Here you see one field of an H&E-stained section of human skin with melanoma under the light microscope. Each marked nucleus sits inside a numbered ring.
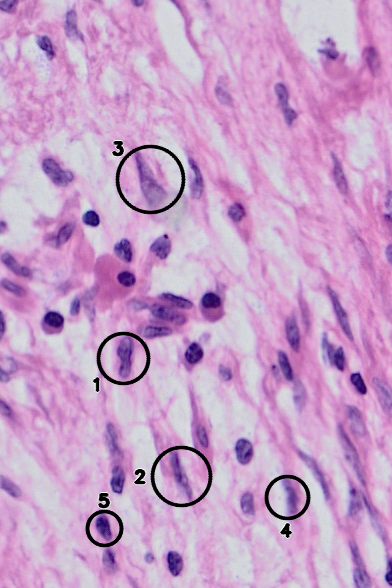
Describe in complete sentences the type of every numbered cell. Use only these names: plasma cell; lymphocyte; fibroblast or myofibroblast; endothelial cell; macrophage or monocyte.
Cell 1 is a macrophage or monocyte. Cells 2, 3 and 4 are fibroblasts or myofibroblasts. Cell 5 is a lymphocyte.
